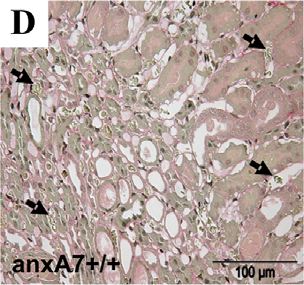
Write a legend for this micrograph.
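Kidney tissue with tubules in cross and oblique section and a few red blood cells in the capillaries between them. The tubules are lined by pale pink-grey epithelium with dark round nuclei, and many have open, clear round lumina. Thin reddish strands of connective tissue outline the tubules. In the narrow spaces between neighbouring tubules lie small groups of yellowish red blood cells, scattered rather than massed. The overall pattern is of closely packed round tubule profiles separated by slender interstitial spaces.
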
